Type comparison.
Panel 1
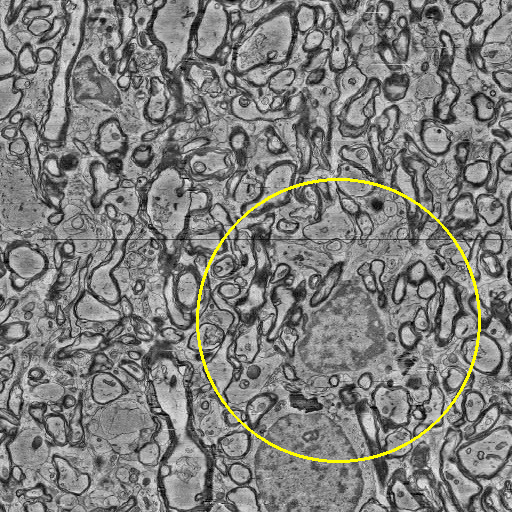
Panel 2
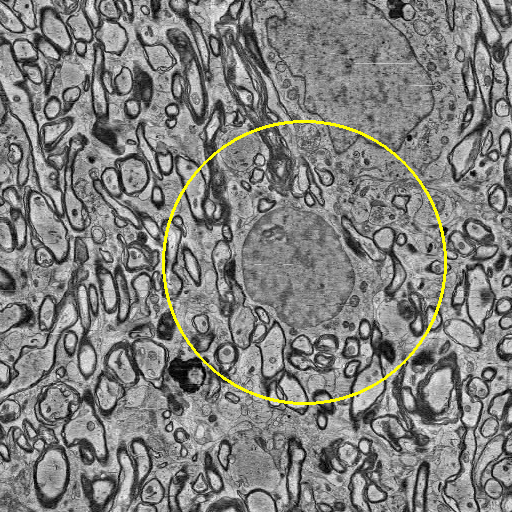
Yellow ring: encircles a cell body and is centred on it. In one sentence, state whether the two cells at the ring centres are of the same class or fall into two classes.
In these panels, the two cells at the ring centres are of the same class.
